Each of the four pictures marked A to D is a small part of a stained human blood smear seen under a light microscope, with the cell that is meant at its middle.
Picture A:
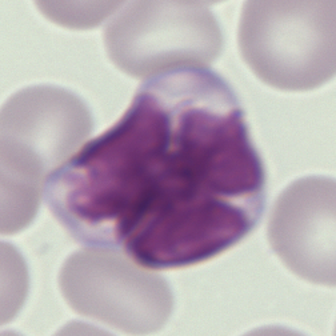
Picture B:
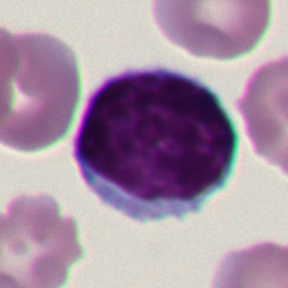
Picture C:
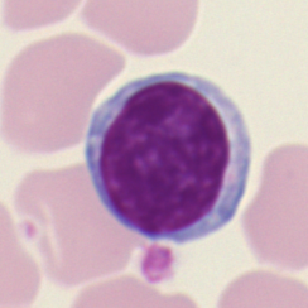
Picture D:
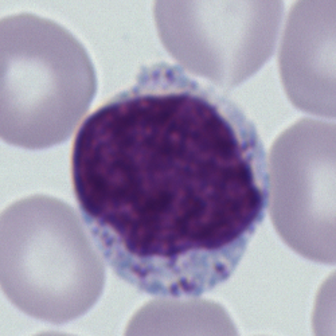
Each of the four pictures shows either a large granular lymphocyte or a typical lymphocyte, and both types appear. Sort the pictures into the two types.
A: large granular lymphocyte
B: typical lymphocyte
C: typical lymphocyte
D: large granular lymphocyte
